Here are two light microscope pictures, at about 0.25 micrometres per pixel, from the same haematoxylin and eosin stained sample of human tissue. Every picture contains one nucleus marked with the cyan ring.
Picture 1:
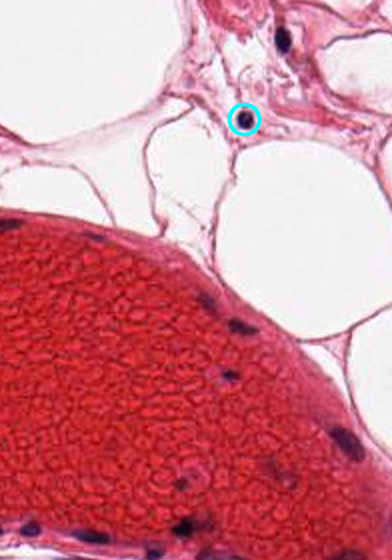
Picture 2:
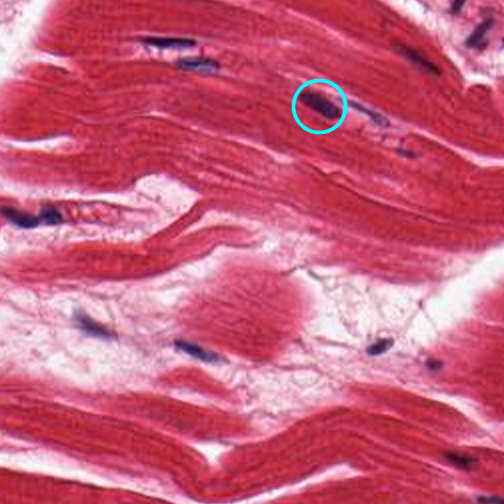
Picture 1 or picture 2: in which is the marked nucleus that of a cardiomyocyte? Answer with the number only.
2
